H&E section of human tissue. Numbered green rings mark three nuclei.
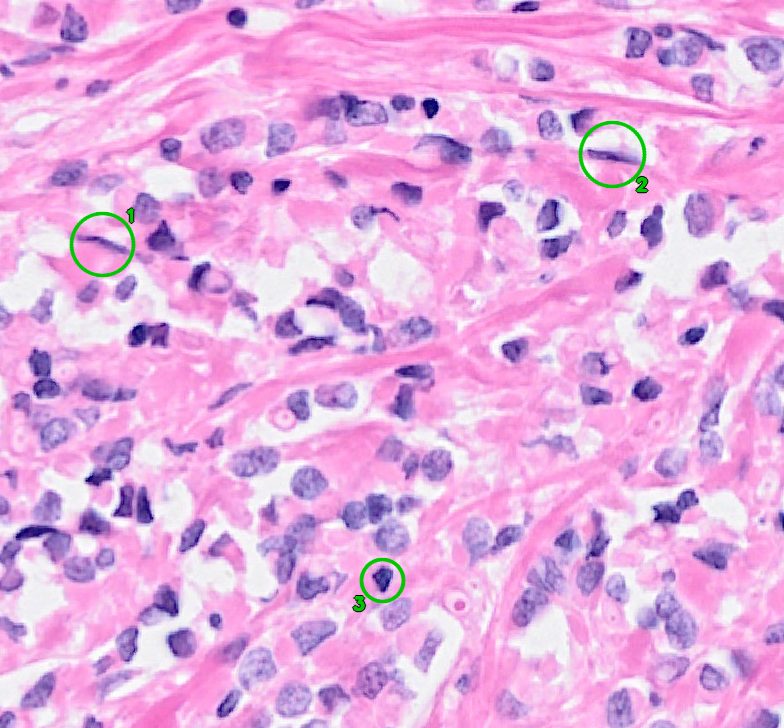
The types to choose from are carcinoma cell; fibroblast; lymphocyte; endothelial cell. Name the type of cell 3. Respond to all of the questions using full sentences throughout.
The numbered cell 3 is identified here as a lymphocyte.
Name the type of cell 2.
What the number 2 marks in this field is a fibroblast.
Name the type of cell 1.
As for number 1, that cell is a fibroblast.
